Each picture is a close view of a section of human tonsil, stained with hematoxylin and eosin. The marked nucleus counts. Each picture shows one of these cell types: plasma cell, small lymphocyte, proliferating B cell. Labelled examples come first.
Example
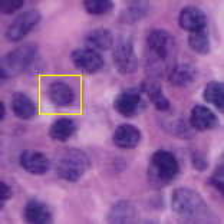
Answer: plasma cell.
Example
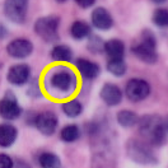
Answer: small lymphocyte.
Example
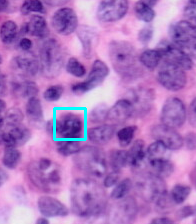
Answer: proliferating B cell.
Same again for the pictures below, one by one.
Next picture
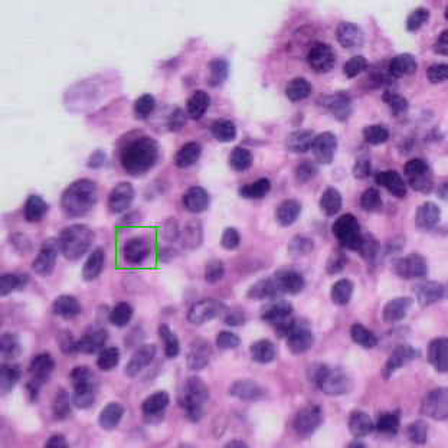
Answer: proliferating B cell.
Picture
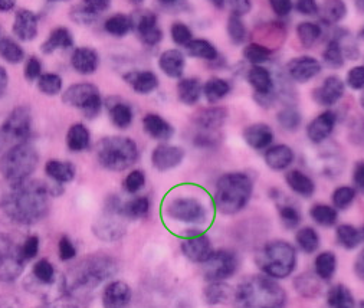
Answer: proliferating B cell.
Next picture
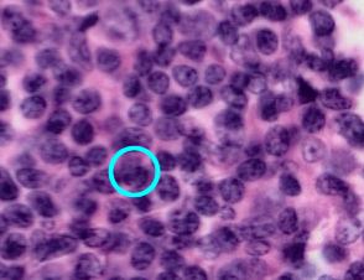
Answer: small lymphocyte.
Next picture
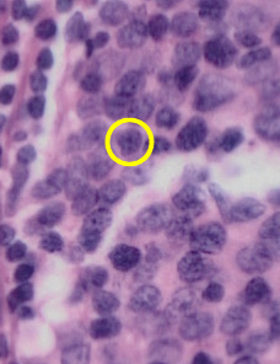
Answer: proliferating B cell.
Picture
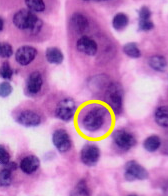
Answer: plasma cell.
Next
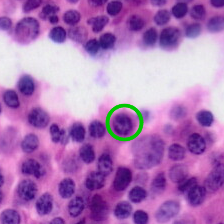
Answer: plasma cell.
